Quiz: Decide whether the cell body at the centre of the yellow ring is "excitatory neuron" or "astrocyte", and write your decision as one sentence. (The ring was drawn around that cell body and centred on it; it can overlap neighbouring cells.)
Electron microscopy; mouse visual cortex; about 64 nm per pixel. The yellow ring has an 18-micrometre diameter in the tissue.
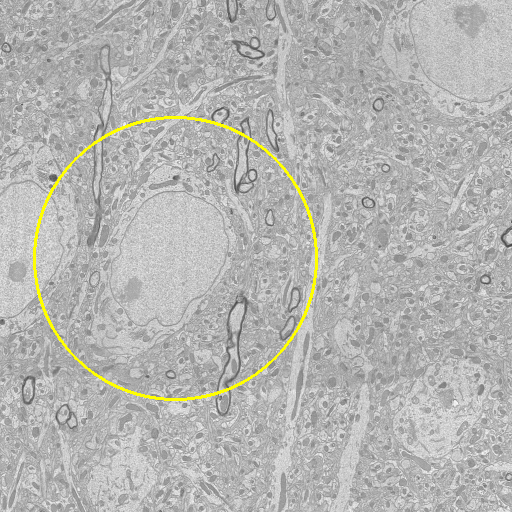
The cell the ring is centred on is an excitatory neuron.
